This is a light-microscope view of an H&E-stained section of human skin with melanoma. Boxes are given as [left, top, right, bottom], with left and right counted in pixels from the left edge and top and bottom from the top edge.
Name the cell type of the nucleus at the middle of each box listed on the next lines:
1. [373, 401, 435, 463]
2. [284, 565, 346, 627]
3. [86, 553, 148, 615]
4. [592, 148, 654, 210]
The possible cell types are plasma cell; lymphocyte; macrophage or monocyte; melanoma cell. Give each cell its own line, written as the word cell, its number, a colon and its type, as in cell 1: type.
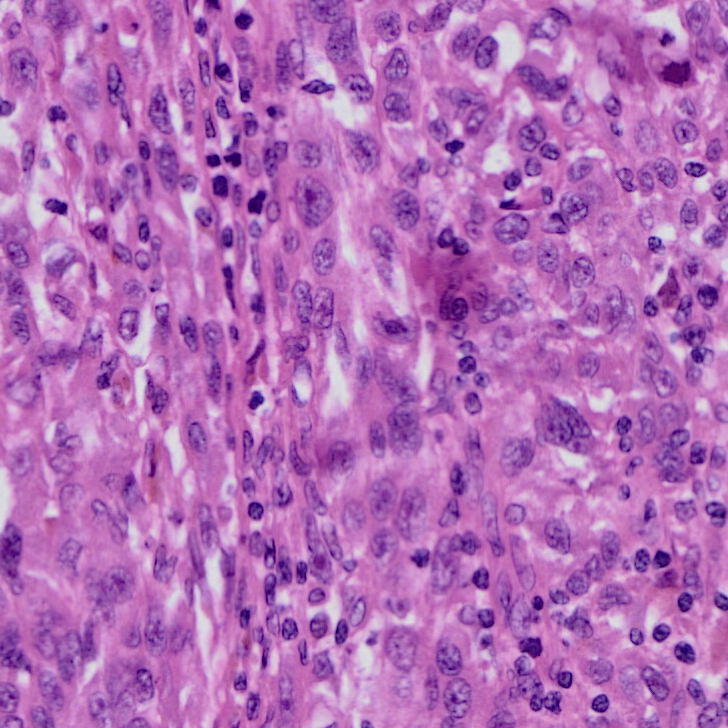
cell 1: melanoma cell
cell 2: macrophage or monocyte
cell 3: melanoma cell
cell 4: macrophage or monocyte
